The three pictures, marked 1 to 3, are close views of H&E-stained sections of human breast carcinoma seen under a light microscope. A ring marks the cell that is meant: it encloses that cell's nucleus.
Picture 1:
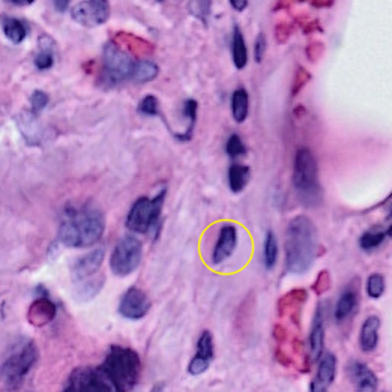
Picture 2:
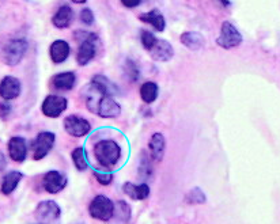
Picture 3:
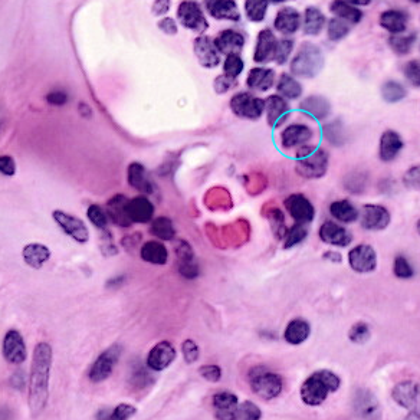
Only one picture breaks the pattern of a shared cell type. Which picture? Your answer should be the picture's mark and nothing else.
1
